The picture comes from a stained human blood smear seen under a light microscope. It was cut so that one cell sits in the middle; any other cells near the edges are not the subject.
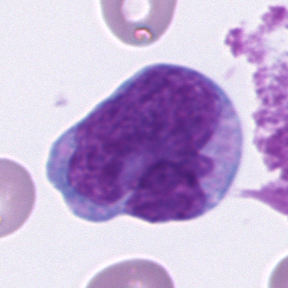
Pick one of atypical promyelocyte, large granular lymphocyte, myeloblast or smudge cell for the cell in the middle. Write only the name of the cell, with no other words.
atypical promyelocyte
